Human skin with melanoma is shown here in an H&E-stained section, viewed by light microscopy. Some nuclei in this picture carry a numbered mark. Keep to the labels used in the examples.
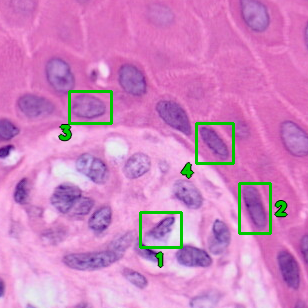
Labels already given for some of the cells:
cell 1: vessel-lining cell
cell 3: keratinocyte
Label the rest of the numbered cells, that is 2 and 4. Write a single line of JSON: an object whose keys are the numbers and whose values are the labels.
{"2": "keratinocyte", "4": "keratinocyte"}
